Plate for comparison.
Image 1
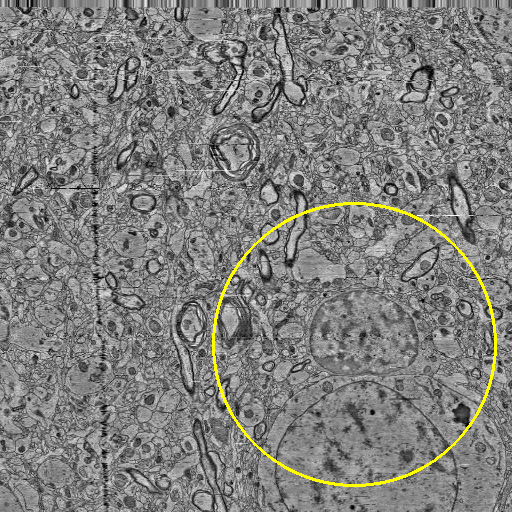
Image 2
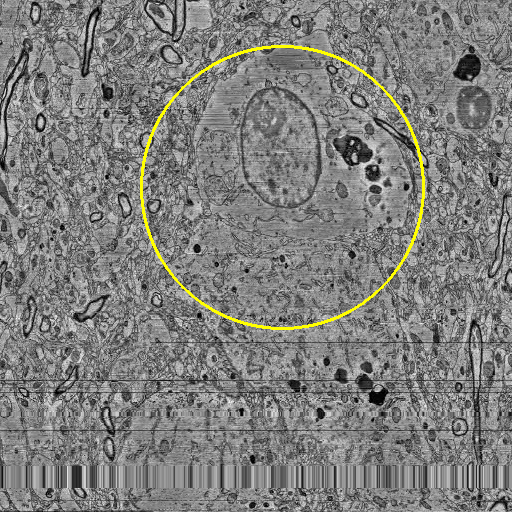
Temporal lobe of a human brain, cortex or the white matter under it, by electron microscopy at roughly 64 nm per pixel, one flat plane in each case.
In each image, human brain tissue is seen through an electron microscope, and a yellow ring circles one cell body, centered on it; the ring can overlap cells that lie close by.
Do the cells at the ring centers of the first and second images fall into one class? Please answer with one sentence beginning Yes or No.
No, the first and second images show two classes of cell at the ring centers.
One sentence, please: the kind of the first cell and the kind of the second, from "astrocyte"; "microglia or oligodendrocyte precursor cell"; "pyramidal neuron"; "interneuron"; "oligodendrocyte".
The ring in the first picture surrounds an oligodendrocyte, and the ring in the second surrounds an astrocyte.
